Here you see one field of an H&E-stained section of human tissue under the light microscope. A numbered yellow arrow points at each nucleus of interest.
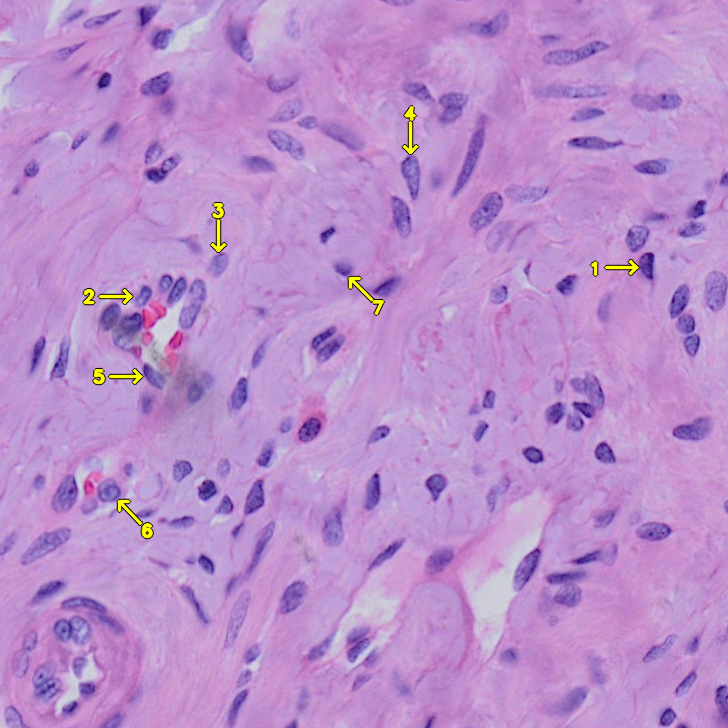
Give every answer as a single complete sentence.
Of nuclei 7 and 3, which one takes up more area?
Nucleus 3 is larger, with an area about 2 times that of nucleus 7.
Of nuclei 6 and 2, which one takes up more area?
The larger nucleus is 6, at roughly 2 times the area of 2.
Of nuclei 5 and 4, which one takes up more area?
It is nucleus 4, which covers about 1.5 times the area of nucleus 5.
